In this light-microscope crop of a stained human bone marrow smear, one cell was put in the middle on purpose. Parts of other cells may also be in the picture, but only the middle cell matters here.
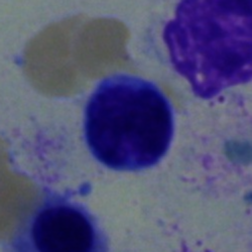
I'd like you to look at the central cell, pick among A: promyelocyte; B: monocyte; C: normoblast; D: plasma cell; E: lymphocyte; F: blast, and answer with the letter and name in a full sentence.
Of the choices given, option E is right, as the central cell is a lymphocyte.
